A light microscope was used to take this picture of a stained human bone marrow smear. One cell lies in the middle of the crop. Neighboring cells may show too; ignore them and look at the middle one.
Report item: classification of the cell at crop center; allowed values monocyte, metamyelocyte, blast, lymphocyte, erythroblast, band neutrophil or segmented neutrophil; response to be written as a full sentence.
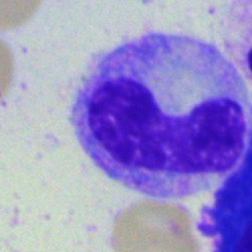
In the middle of this smear crop is a band neutrophil.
